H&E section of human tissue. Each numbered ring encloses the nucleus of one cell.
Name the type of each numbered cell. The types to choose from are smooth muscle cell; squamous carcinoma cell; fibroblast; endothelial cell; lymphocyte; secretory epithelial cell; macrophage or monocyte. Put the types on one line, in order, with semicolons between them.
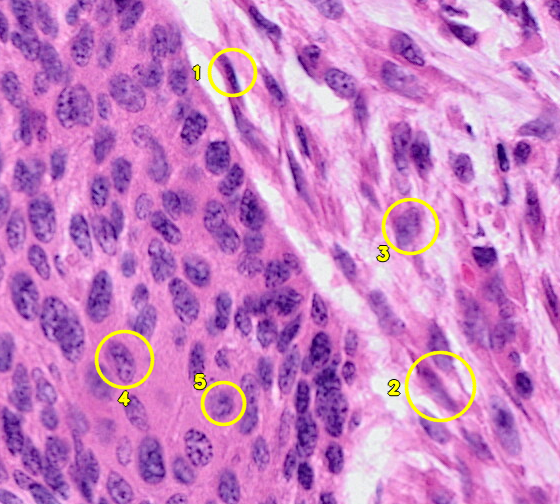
fibroblast; fibroblast; fibroblast; squamous carcinoma cell; squamous carcinoma cell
